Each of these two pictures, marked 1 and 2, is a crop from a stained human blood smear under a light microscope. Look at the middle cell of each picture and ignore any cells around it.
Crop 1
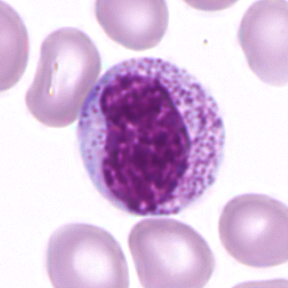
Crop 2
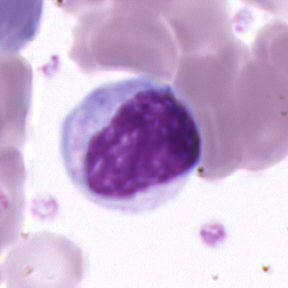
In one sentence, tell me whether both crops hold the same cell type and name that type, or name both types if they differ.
Yes, for both crops, the central cells are metamyelocytes.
